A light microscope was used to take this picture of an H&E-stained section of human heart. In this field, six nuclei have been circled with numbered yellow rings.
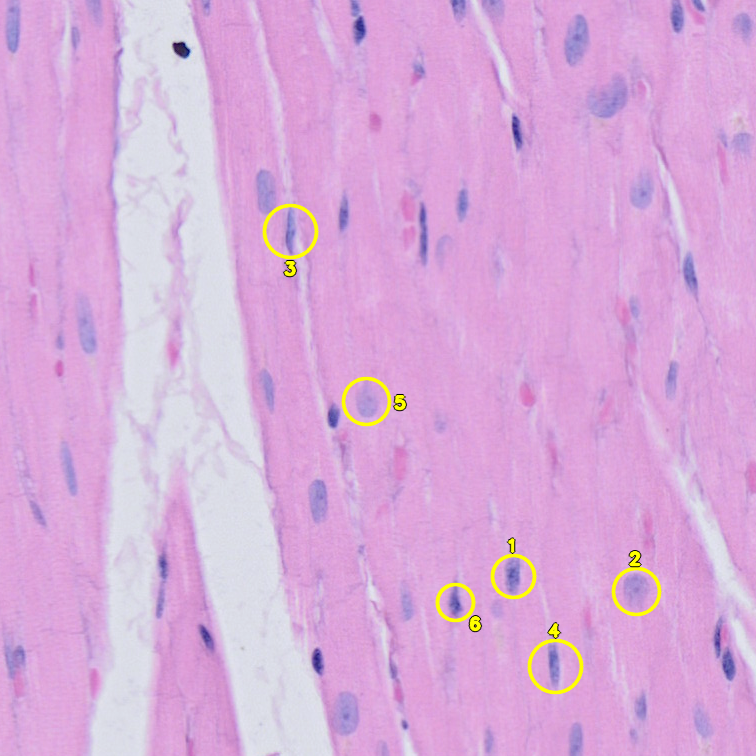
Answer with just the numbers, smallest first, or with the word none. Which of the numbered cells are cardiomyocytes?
2, 5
